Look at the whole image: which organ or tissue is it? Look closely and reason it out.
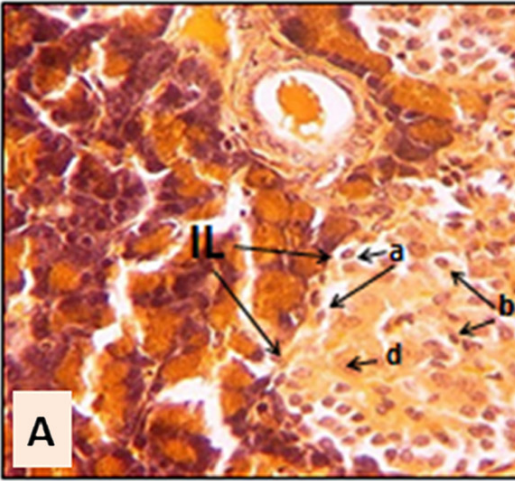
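Densely packed acinar cells with orange-brown granular cytoplasm fill most of the field. A pale, rounded cluster of smaller cells sits among the acini. A small vessel with orange contents lies near the top.
Hence: pancreas.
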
